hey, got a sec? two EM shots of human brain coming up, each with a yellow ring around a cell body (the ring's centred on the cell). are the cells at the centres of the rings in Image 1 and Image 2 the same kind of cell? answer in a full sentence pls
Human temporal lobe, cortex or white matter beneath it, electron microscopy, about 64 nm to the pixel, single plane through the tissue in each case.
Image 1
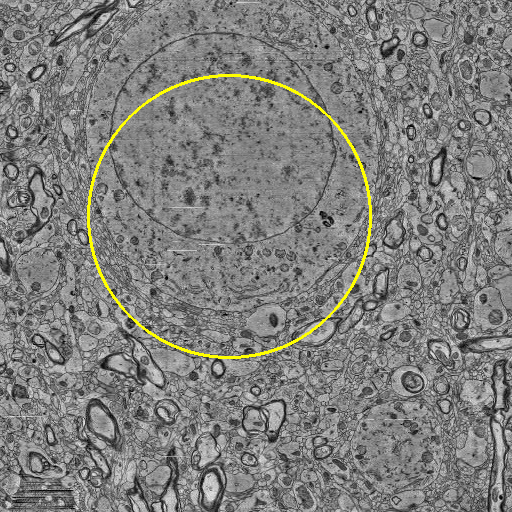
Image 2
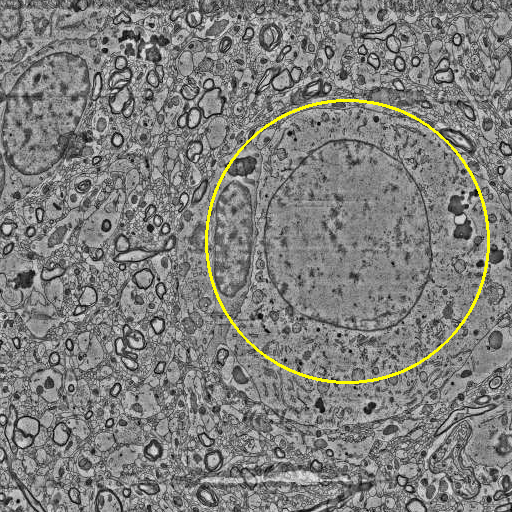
Yes, both are the same kind of cell.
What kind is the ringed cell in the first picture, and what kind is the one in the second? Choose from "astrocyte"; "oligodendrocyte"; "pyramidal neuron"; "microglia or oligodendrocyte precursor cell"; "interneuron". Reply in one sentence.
In the first picture and in the second, the ring is centred on a pyramidal neuron.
